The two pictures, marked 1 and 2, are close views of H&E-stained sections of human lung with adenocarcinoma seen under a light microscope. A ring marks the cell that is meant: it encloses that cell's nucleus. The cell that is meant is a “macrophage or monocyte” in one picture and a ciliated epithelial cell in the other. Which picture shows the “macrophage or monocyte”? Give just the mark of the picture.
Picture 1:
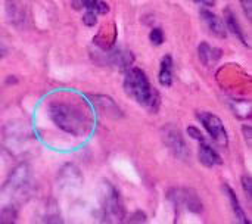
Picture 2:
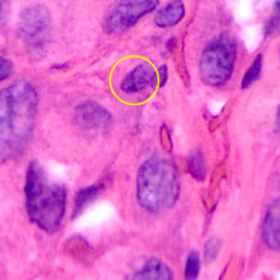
2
